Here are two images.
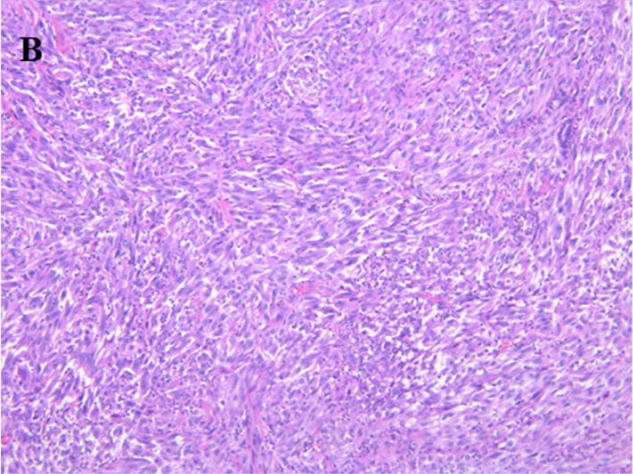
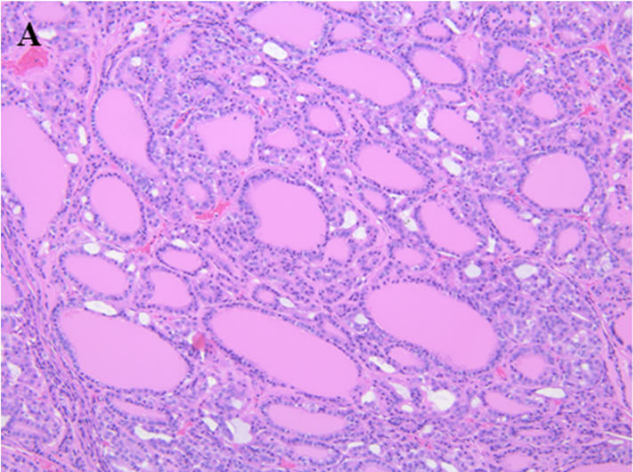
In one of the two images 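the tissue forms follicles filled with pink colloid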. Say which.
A: The second image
